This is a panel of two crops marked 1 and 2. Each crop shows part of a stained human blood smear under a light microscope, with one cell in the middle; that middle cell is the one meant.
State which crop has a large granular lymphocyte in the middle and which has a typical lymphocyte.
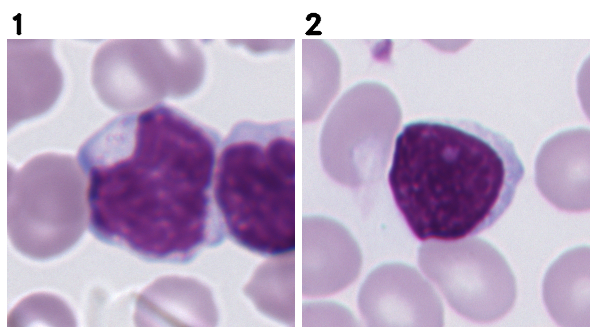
1: large granular lymphocyte
2: typical lymphocyte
